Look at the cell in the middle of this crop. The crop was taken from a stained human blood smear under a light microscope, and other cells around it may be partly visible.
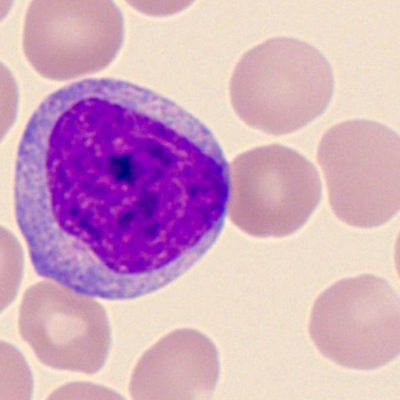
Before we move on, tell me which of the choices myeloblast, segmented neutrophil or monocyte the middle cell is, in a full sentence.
By type, the central cell of the crop is a myeloblast.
